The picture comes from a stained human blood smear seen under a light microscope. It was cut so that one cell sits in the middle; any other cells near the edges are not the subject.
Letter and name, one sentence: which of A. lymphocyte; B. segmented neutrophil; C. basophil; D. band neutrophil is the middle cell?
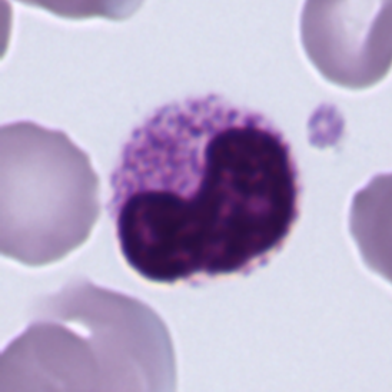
Option D holds, for the cell in the middle is a band neutrophil.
